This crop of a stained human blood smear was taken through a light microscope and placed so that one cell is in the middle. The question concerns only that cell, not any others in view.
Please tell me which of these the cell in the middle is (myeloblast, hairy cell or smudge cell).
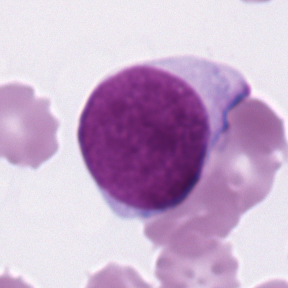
myeloblast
